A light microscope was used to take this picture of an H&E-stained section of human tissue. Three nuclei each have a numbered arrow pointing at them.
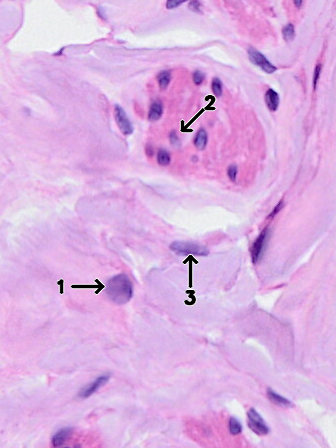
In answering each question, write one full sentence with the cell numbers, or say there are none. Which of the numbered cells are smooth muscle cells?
Only one choice fits: cell 2 is a smooth muscle cell, and no other.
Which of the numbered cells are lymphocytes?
The numbered nuclei belong to cells that are not lymphocytes.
